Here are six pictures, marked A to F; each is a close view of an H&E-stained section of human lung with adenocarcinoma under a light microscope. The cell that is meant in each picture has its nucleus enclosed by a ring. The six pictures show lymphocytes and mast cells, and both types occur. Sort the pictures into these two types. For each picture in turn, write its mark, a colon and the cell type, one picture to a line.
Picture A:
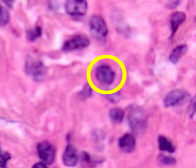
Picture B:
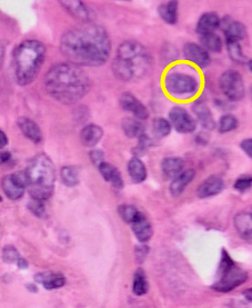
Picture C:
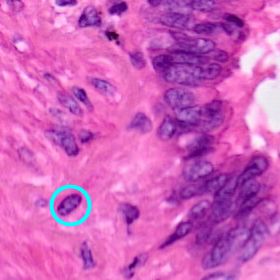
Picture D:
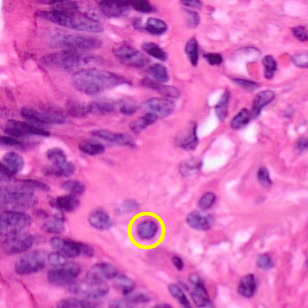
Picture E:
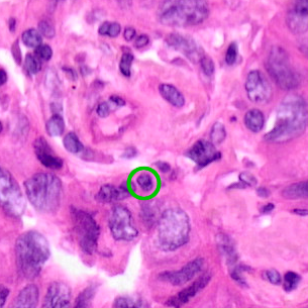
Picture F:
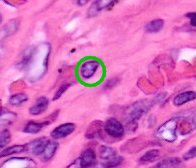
A: mast cell
B: lymphocyte
C: mast cell
D: mast cell
E: lymphocyte
F: mast cell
